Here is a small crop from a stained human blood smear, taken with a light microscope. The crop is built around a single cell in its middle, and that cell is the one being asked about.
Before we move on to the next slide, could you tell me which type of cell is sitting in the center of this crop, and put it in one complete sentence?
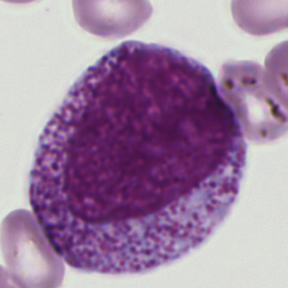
The central cell, amid any neighbouring cells, is a promyelocyte.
